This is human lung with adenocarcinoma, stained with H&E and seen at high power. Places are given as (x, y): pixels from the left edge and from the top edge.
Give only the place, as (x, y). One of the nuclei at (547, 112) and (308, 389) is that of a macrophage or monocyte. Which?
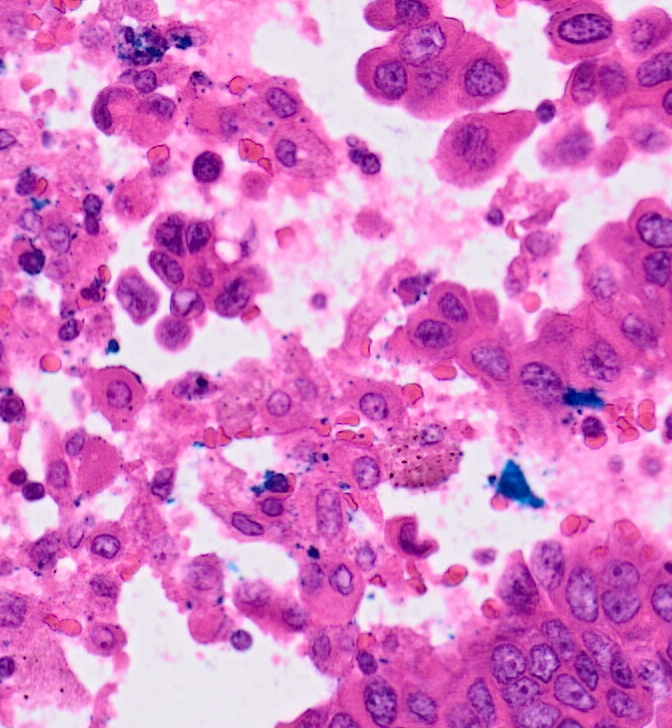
(308, 389)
